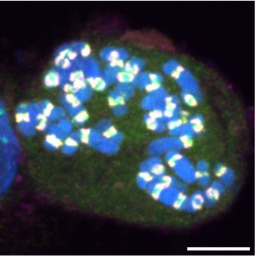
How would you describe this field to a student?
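A single rounded cell in mitosis whose condensed chromosomes are spread in scattered clusters throughout the cell, with no nuclear envelope around them. The chromosomes stain blue and appear as short, compact rods and X-like shapes. Most chromosomes carry a bright yellow-white spot at one region, the constriction between the chromatids, and small paired magenta dots sit at these regions. The cytoplasm around the chromosomes is dim with a weak green haze.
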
